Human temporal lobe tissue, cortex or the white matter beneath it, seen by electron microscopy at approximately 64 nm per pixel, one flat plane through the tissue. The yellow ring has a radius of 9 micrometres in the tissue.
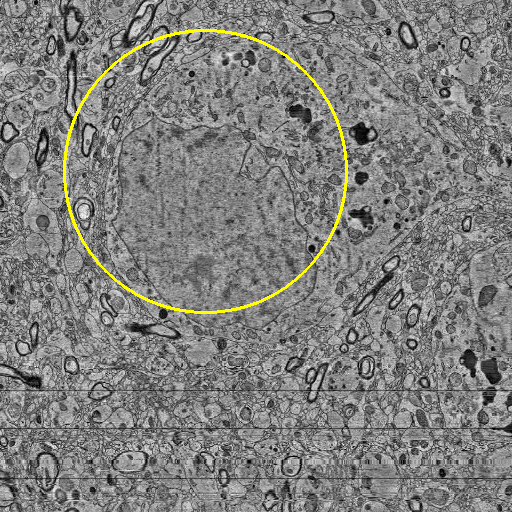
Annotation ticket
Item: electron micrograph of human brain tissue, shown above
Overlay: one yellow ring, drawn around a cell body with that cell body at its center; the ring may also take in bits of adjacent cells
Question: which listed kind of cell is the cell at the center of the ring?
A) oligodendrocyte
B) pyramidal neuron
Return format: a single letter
B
